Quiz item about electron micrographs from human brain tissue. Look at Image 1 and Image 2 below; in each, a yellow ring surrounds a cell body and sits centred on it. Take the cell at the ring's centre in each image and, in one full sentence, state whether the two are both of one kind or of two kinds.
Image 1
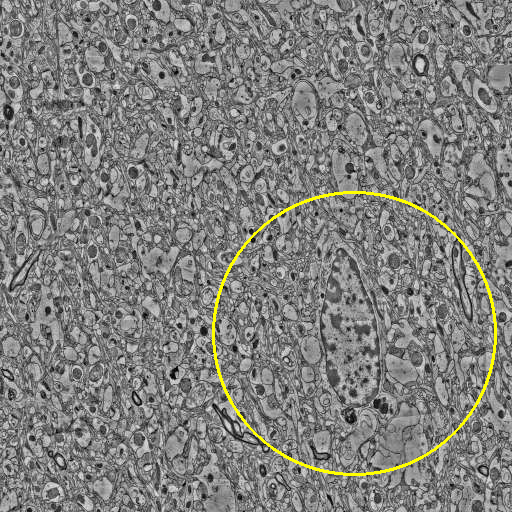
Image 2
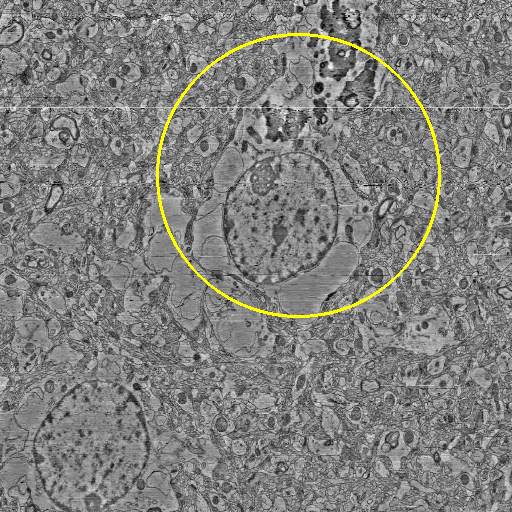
In Image 1 and Image 2, the cells at the ring centres are of two kinds.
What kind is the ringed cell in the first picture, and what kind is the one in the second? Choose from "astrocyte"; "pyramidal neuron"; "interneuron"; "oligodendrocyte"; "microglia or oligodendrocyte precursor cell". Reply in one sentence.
The first cell is a microglial cell or oligodendrocyte precursor cell; the second is an astrocyte.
